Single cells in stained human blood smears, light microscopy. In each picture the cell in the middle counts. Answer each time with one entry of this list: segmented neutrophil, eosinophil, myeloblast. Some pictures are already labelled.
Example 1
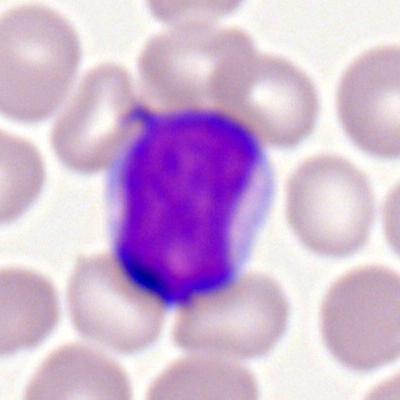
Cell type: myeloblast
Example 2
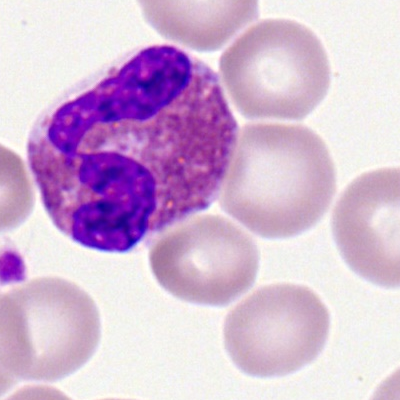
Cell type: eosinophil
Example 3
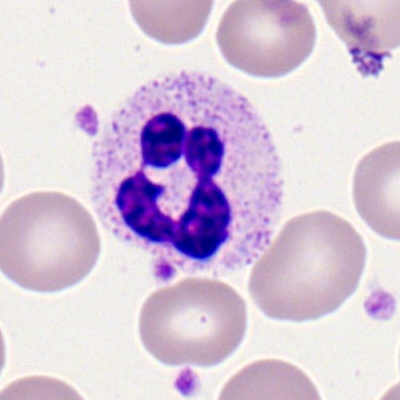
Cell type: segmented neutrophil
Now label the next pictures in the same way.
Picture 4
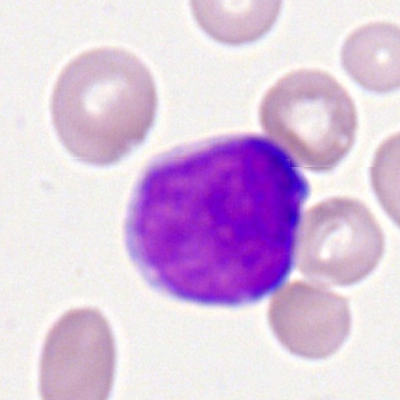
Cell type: myeloblast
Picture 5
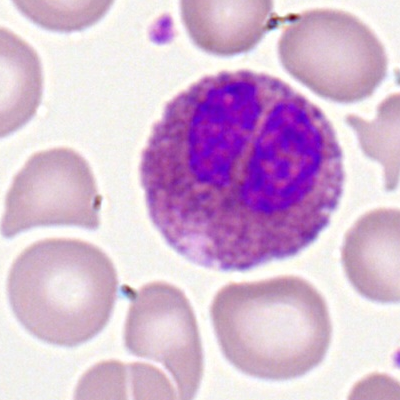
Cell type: eosinophil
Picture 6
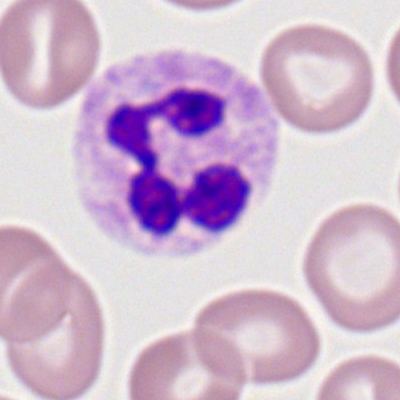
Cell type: segmented neutrophil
